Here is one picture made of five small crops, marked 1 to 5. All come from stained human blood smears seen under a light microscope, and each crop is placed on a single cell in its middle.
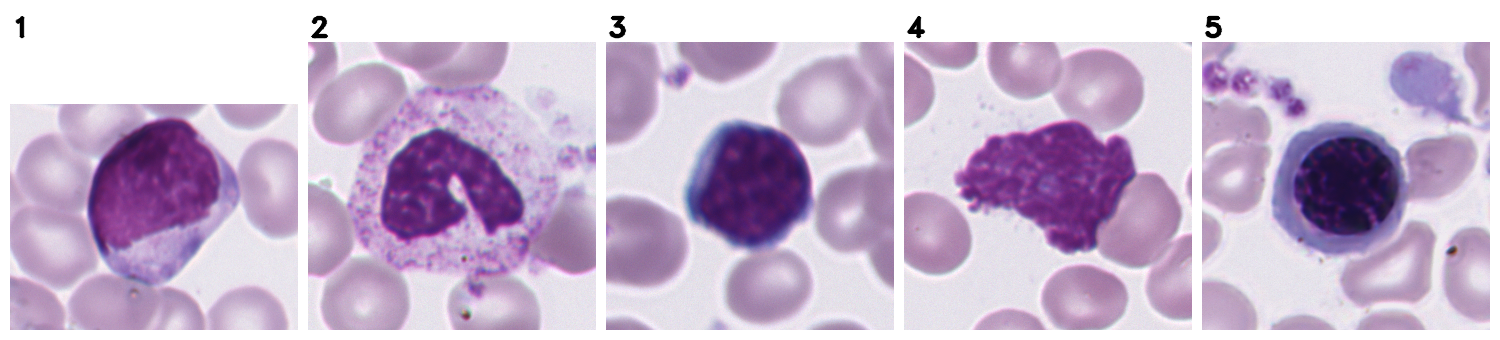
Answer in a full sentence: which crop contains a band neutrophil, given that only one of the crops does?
The one showing a band neutrophil is crop 2.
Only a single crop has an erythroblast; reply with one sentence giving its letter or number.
Crop 5 is the crop that displays an erythroblast.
